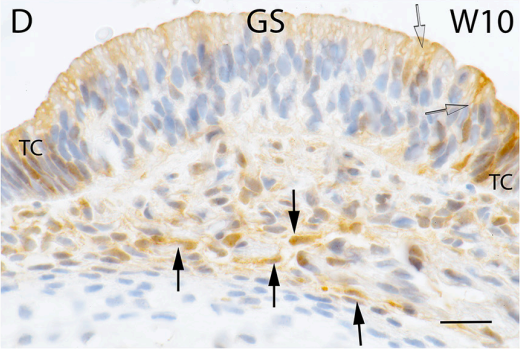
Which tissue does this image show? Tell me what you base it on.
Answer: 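Crista ampullaris. A dome-shaped, tall columnar epithelium bulges over a core of loose connective tissue. The epithelium has several tiers of nuclei, typical of a sensory epithelium.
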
